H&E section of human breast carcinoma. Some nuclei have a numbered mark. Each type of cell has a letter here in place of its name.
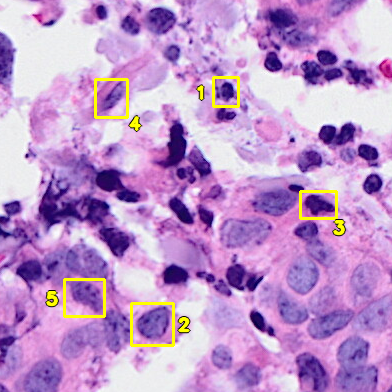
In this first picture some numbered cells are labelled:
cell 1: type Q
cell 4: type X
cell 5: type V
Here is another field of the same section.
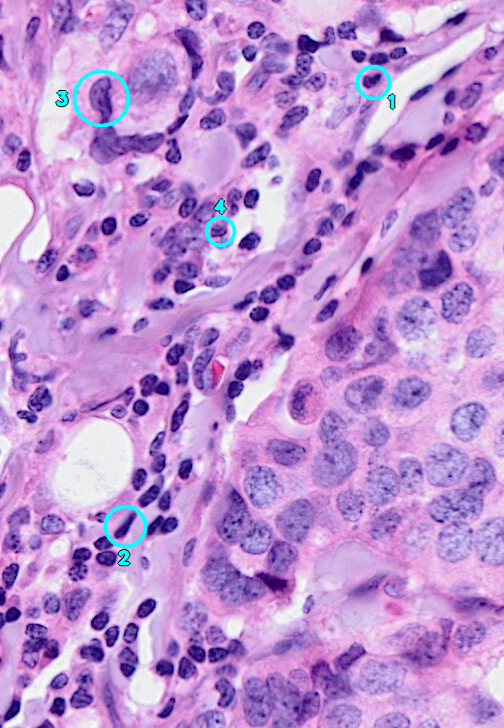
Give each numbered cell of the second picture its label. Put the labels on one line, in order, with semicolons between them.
type Q; type Q; type V; type Q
